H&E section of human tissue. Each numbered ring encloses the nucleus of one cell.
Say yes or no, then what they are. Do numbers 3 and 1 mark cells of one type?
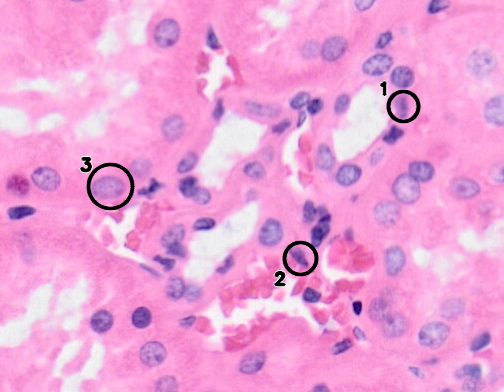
No, cell 3 is a proximal tubule cell and cell 1 is a collecting duct cell.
